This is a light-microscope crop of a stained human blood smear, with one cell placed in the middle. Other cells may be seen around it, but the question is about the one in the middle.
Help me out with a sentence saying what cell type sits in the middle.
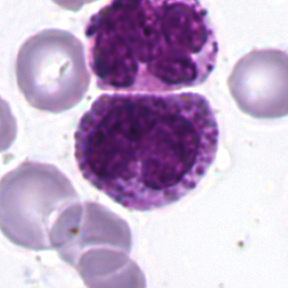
Classification of the middle cell gives a basophil.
